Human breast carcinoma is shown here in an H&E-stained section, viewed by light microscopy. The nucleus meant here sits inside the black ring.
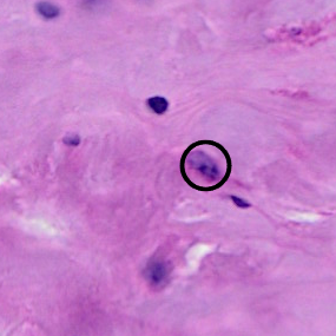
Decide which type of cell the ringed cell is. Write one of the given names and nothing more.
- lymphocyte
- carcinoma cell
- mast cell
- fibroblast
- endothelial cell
mast cell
